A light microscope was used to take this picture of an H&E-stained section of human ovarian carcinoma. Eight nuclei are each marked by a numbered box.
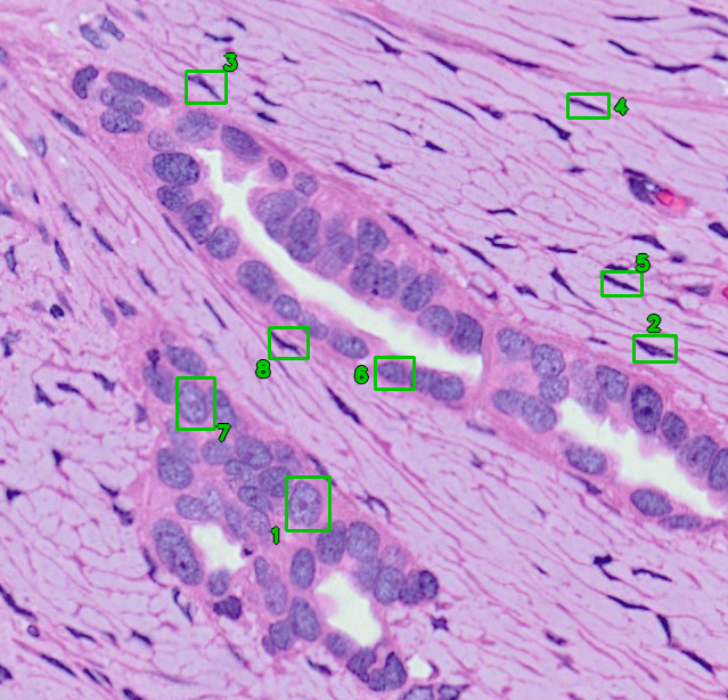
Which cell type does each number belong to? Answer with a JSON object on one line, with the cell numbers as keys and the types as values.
{"1": "carcinoma cell", "2": "fibroblast", "3": "fibroblast", "4": "fibroblast", "5": "fibroblast", "6": "carcinoma cell", "7": "carcinoma cell", "8": "fibroblast"}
